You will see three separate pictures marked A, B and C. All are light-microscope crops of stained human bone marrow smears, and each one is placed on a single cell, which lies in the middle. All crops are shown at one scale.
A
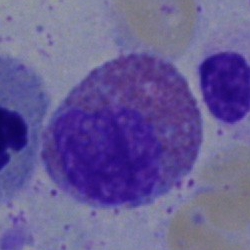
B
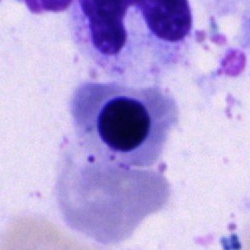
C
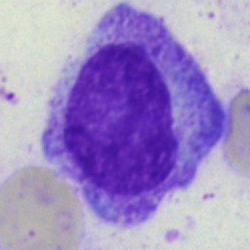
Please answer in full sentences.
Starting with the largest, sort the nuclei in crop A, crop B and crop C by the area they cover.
Largest first: C, A, B.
